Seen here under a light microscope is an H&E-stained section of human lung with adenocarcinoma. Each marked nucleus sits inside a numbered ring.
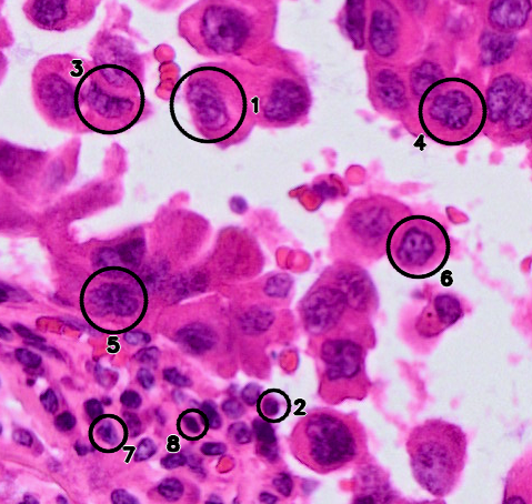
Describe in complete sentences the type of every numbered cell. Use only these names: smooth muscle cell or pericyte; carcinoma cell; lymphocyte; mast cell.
Cells 1, 3, 4, 5 and 6 are carcinoma cells. Cells 2, 7 and 8 are lymphocytes.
